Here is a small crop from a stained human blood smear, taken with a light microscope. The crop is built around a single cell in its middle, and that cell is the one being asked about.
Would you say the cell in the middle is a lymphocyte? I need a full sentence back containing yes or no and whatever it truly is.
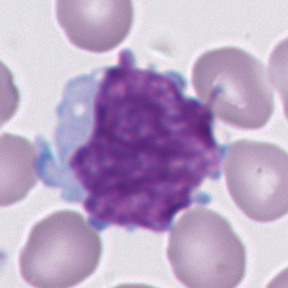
No, sorry, the middle cell is a blast rather than a lymphocyte.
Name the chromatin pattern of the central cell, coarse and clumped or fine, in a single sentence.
If you check the nucleus, you will find the chromatin coarsely clumped.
